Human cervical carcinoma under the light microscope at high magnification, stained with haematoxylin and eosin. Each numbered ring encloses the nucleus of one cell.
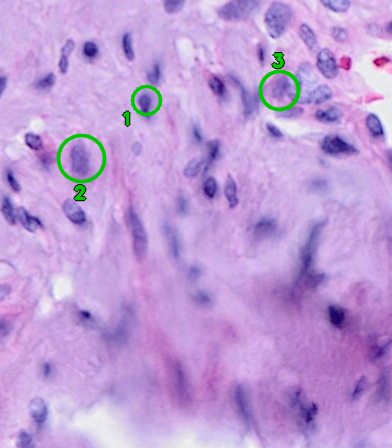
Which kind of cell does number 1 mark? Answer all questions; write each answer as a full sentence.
Within this field of view, the cell labelled 1 is a fibroblast.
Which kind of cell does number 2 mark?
Marked with the number 2, this cell is a fibroblast.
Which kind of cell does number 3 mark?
Classified as an endothelial cell is the cell with the number 3.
